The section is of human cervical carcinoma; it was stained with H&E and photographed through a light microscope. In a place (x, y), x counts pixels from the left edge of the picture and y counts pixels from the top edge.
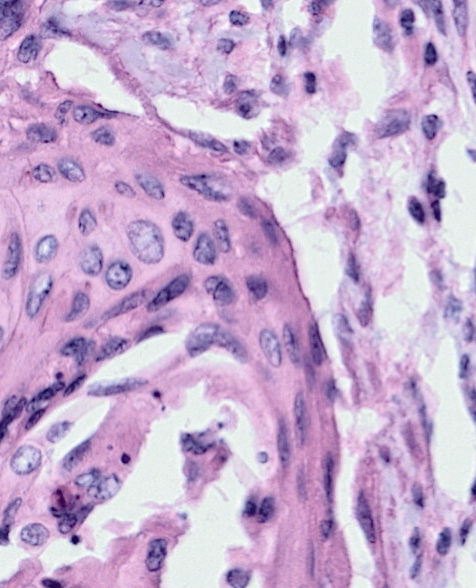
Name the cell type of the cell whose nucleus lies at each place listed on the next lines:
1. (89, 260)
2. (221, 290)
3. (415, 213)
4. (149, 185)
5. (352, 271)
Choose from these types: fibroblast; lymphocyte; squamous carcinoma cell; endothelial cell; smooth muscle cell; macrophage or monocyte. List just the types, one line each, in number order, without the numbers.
squamous carcinoma cell
squamous carcinoma cell
lymphocyte
squamous carcinoma cell
fibroblast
